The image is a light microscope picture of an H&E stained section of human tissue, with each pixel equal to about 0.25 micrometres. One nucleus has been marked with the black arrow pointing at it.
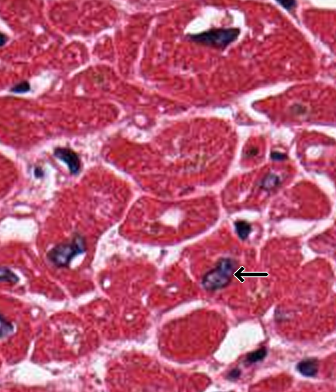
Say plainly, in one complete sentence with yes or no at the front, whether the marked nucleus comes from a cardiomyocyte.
Yes, the marked nucleus represents the nucleus of a cardiomyocyte.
